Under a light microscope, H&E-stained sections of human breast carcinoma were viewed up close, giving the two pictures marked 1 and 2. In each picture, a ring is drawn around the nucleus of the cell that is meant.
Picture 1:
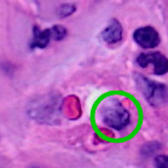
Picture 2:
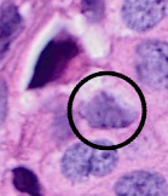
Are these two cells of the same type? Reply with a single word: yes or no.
no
